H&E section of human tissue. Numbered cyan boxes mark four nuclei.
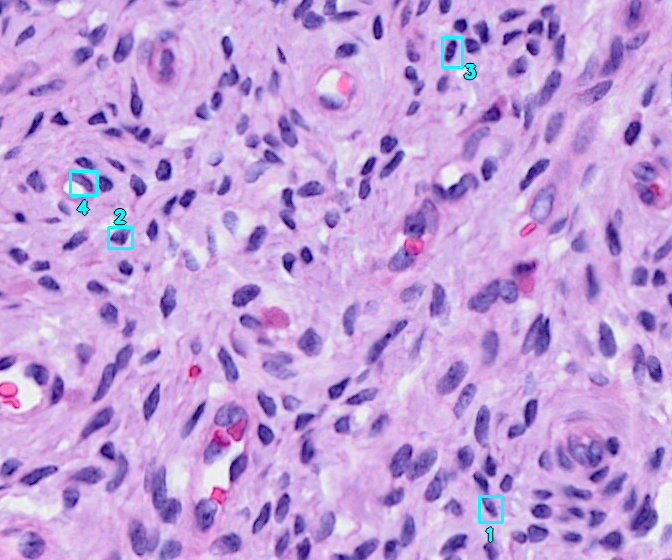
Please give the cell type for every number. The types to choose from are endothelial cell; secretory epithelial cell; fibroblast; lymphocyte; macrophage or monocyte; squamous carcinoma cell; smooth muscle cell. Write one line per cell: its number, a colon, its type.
1: fibroblast
2: fibroblast
3: fibroblast
4: endothelial cell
